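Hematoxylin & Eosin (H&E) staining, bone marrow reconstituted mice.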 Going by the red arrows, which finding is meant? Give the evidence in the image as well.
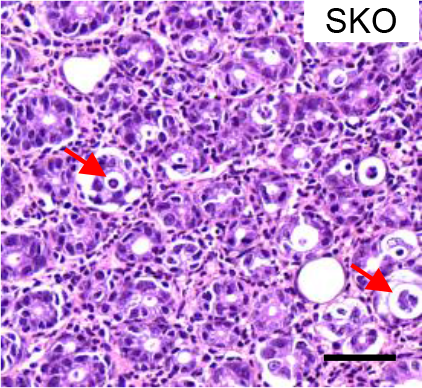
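The arrows point to crypts with widened lumens containing material. The surrounding tissue is crowded with cells. That points to this answer: crypt abscesses.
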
